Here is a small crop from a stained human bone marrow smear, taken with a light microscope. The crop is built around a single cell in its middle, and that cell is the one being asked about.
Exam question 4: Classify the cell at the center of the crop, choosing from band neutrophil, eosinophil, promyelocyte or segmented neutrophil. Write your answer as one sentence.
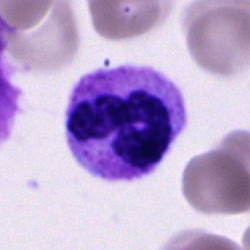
The cell centered in this field of view is a segmented neutrophil.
